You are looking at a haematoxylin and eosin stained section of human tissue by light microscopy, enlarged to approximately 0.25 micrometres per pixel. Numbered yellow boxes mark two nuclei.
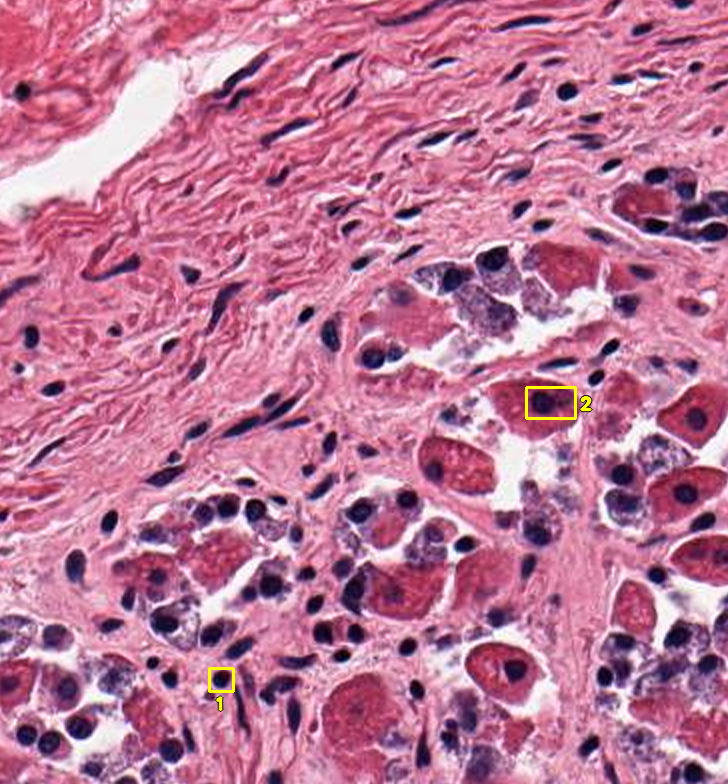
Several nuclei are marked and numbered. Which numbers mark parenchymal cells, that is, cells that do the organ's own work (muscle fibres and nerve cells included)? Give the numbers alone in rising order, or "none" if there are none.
2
